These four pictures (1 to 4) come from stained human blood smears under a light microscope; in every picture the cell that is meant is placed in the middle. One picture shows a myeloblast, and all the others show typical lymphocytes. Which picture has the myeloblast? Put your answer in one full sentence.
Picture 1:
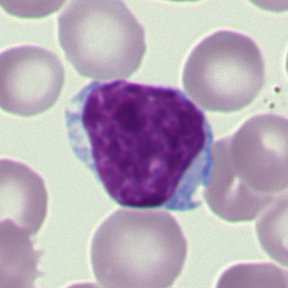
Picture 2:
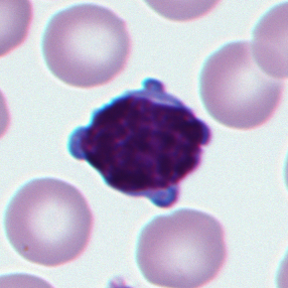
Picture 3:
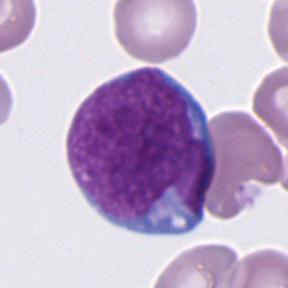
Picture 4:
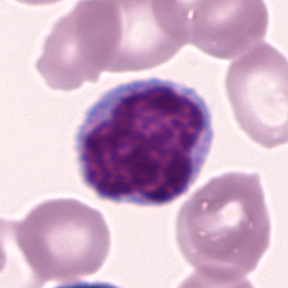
It is picture 3 that shows the myeloblast.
